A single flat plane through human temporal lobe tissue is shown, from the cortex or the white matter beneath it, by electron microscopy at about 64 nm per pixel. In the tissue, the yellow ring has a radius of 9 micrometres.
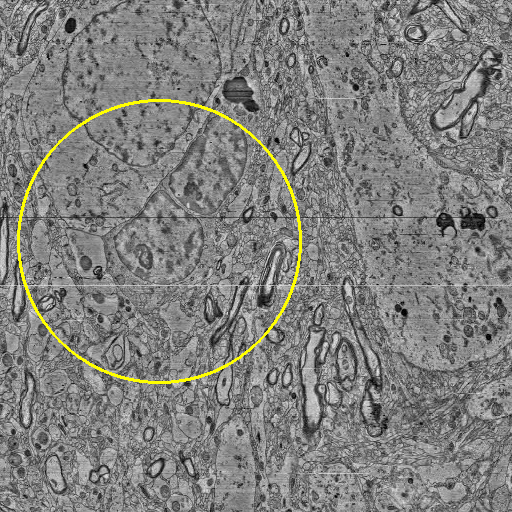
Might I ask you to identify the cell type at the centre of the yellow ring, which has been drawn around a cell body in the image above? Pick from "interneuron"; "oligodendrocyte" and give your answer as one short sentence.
The centre of the ring falls on an oligodendrocyte.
